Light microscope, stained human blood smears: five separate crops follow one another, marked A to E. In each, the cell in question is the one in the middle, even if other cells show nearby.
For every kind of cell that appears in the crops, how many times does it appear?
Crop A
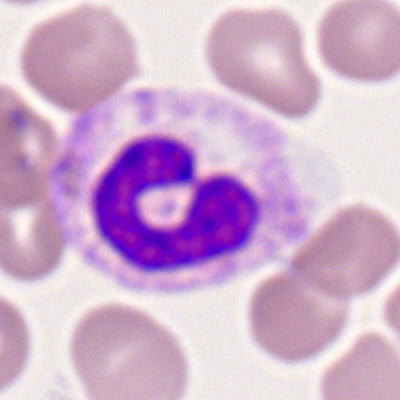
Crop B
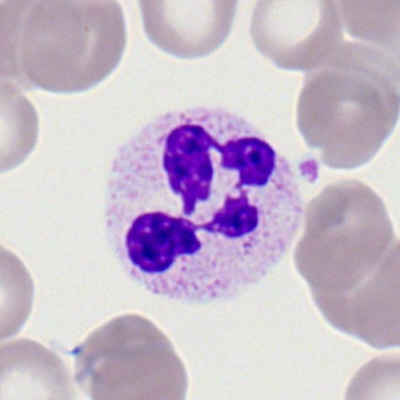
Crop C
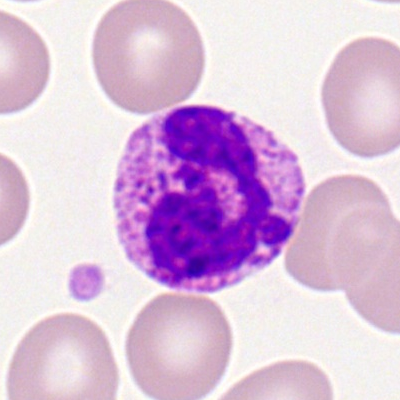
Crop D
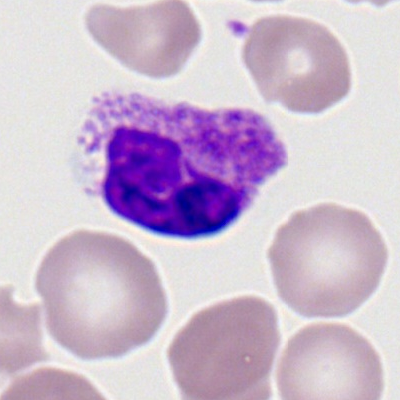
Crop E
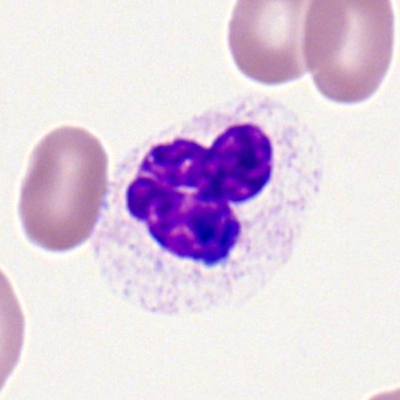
segmented neutrophil: 2
basophil: 2
band neutrophil: 1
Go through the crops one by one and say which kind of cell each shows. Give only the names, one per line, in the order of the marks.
band neutrophil
segmented neutrophil
basophil
basophil
segmented neutrophil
